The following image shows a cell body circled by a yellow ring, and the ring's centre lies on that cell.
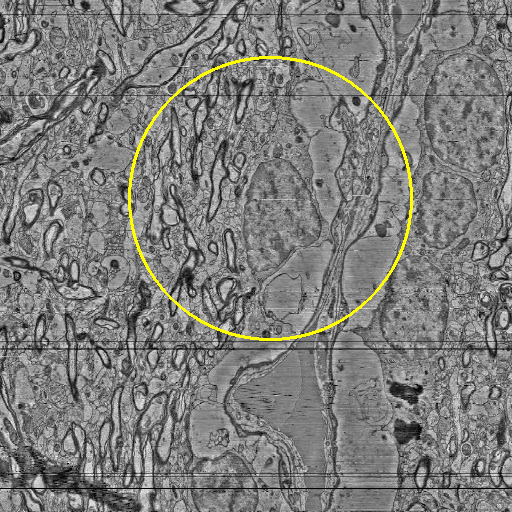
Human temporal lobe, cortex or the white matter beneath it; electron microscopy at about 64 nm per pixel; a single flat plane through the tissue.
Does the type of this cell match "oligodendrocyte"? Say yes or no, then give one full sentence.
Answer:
Yes, the type matches for the cell at the ring's centre in this picture.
